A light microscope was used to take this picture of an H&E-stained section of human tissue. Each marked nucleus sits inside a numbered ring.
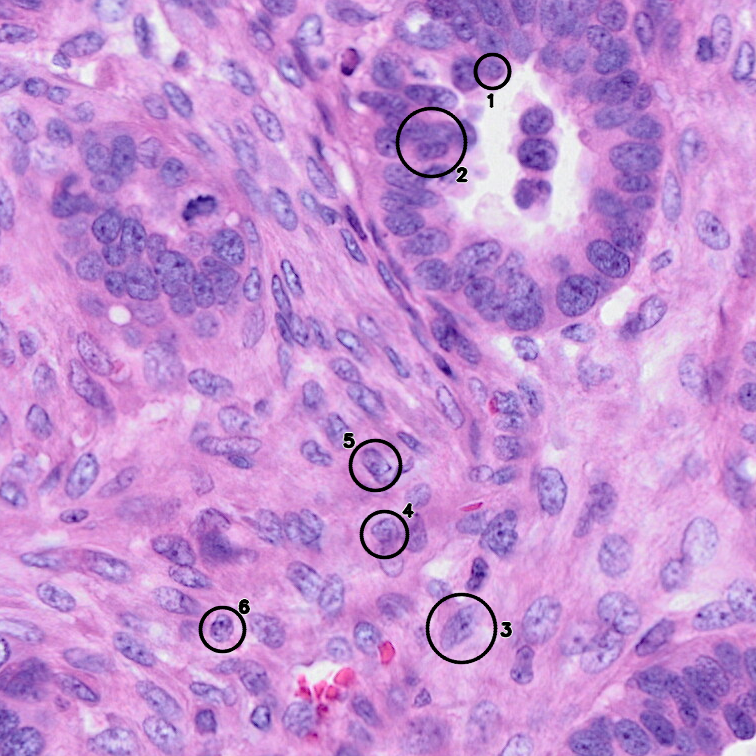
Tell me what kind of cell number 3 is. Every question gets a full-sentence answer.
Cell 3, as marked in the section, is a fibroblast.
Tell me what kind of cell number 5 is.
The expected answer is that cell 5 is a fibroblast.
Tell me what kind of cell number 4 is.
The numbered cell 4 in this field is a fibroblast.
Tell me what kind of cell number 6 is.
The nucleus labelled 6 belongs to a macrophage or monocyte.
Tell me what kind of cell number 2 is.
It is as a carcinoma cell that the cell numbered 2 is identified.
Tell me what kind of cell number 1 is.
The numbered cell 1 is identified here as a carcinoma cell.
